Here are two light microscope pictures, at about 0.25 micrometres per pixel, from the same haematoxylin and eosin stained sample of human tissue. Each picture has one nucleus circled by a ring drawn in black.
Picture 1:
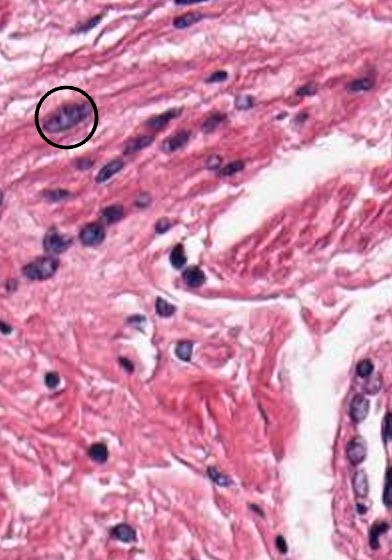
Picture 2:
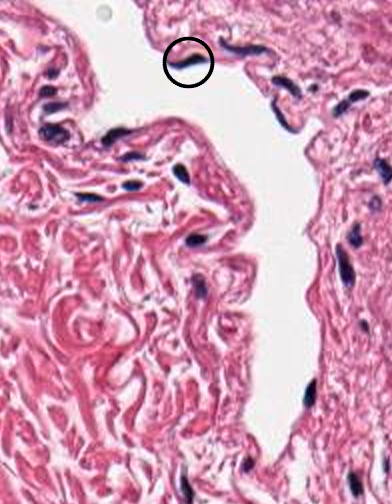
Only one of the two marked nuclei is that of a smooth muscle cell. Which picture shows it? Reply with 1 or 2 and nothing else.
1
